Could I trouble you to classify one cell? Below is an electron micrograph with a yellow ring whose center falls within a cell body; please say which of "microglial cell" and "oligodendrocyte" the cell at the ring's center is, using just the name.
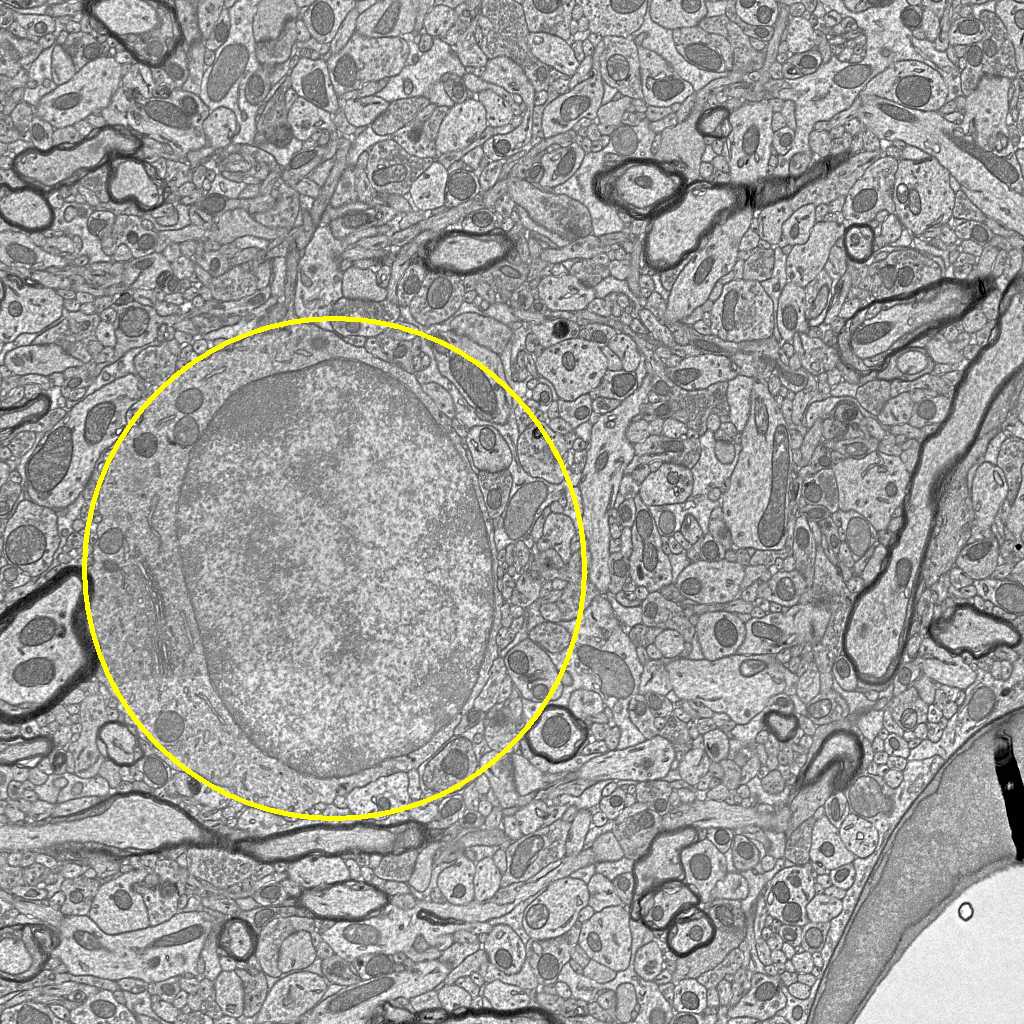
oligodendrocyte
